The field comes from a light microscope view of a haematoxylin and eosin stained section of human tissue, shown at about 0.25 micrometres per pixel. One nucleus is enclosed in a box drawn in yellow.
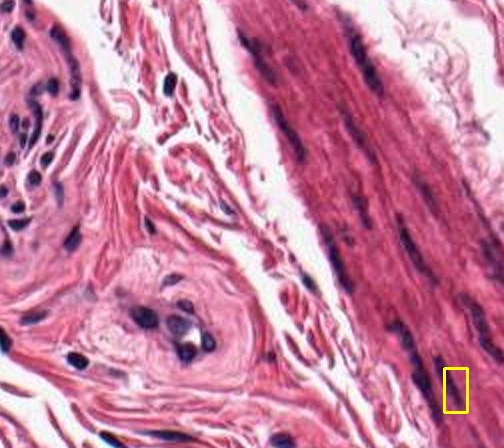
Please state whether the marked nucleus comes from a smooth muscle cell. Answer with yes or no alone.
yes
